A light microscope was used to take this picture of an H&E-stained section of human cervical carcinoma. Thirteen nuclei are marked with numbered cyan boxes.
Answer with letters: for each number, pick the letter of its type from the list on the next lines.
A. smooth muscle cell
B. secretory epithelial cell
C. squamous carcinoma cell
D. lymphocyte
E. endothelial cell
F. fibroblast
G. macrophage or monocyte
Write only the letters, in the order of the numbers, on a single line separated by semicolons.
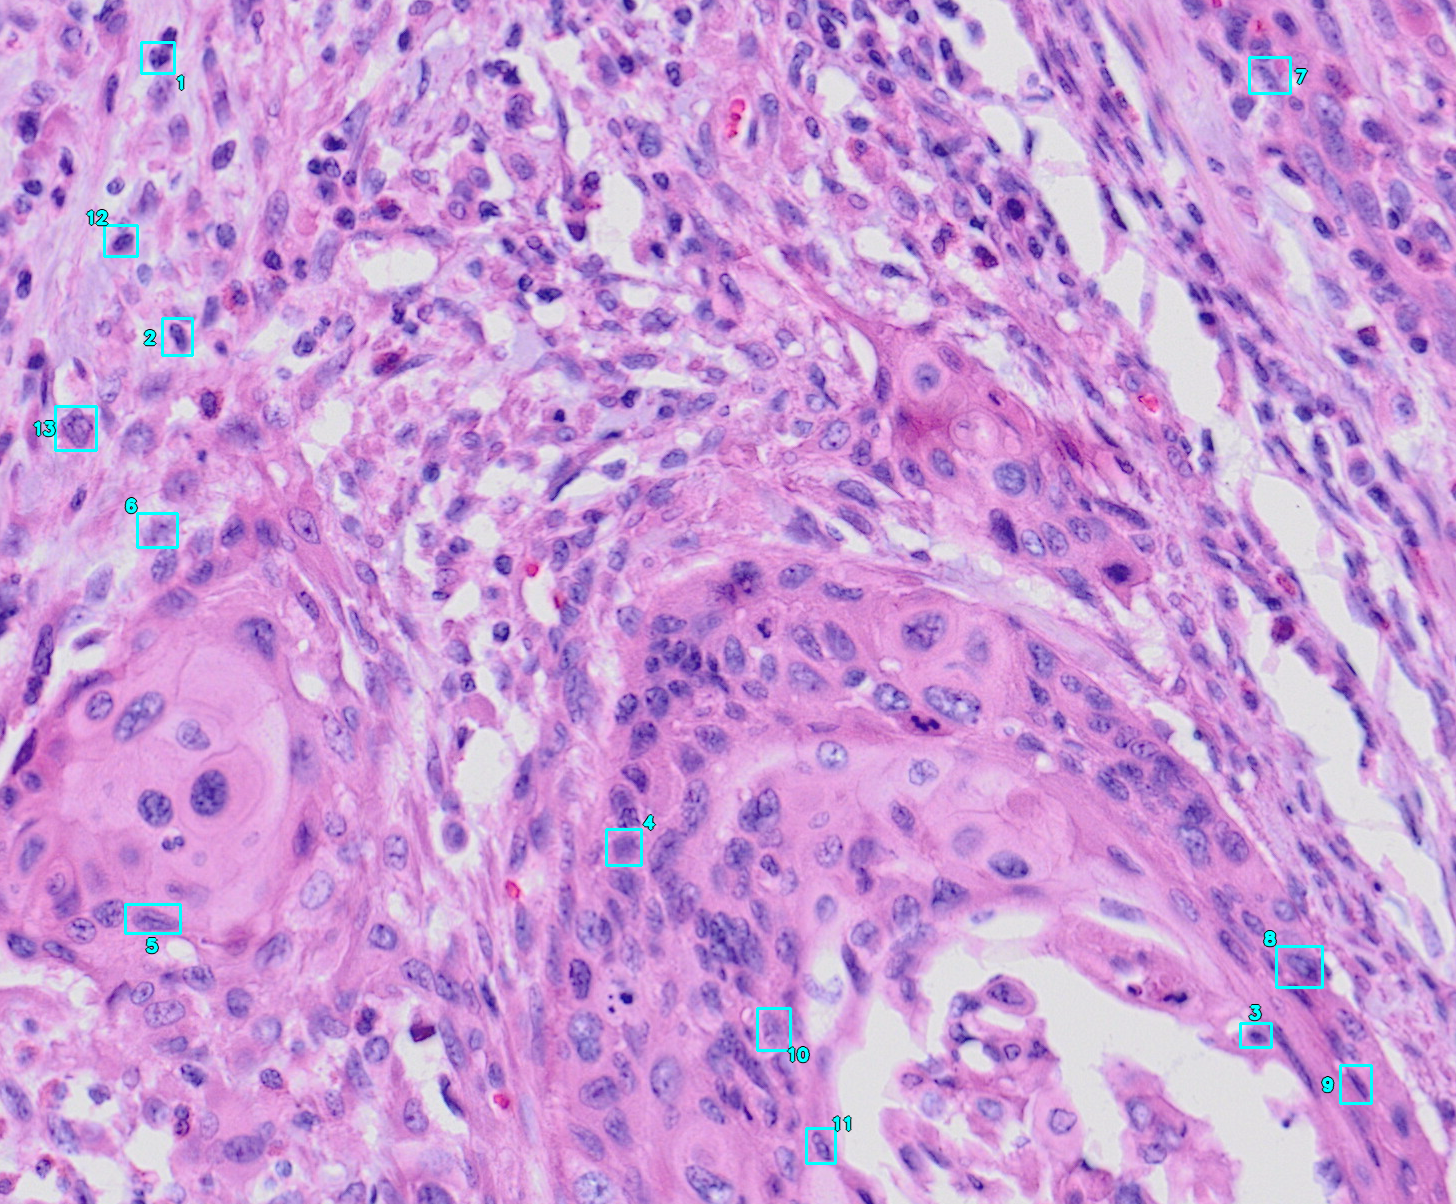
D; D; C; C; C; F; E; C; C; C; C; D; G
